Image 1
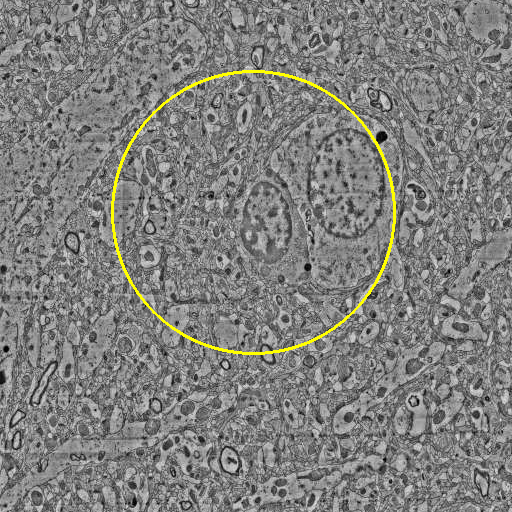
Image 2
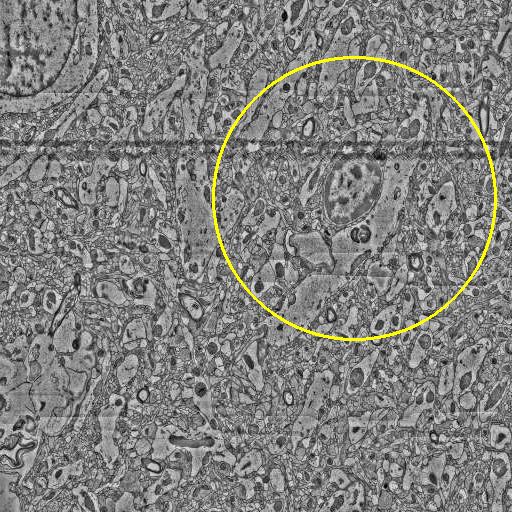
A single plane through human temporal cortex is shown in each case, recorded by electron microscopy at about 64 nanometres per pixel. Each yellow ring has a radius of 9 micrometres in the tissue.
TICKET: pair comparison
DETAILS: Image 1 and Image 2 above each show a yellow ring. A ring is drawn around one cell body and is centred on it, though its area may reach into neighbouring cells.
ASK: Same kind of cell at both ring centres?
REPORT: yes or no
no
